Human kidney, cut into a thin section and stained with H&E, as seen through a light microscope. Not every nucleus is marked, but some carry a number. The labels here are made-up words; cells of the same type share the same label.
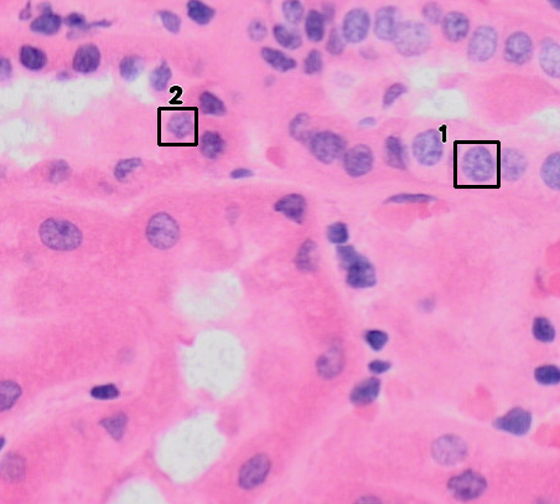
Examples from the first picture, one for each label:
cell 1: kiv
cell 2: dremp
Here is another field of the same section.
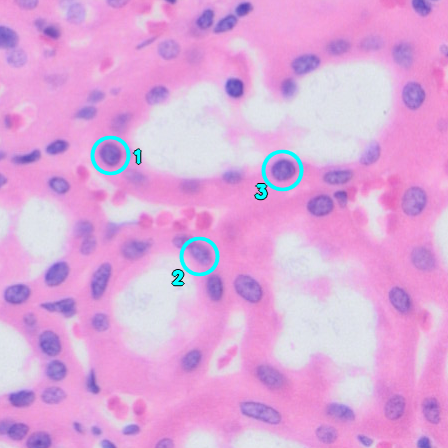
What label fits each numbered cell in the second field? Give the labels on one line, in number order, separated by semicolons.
kiv; kiv; dremp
